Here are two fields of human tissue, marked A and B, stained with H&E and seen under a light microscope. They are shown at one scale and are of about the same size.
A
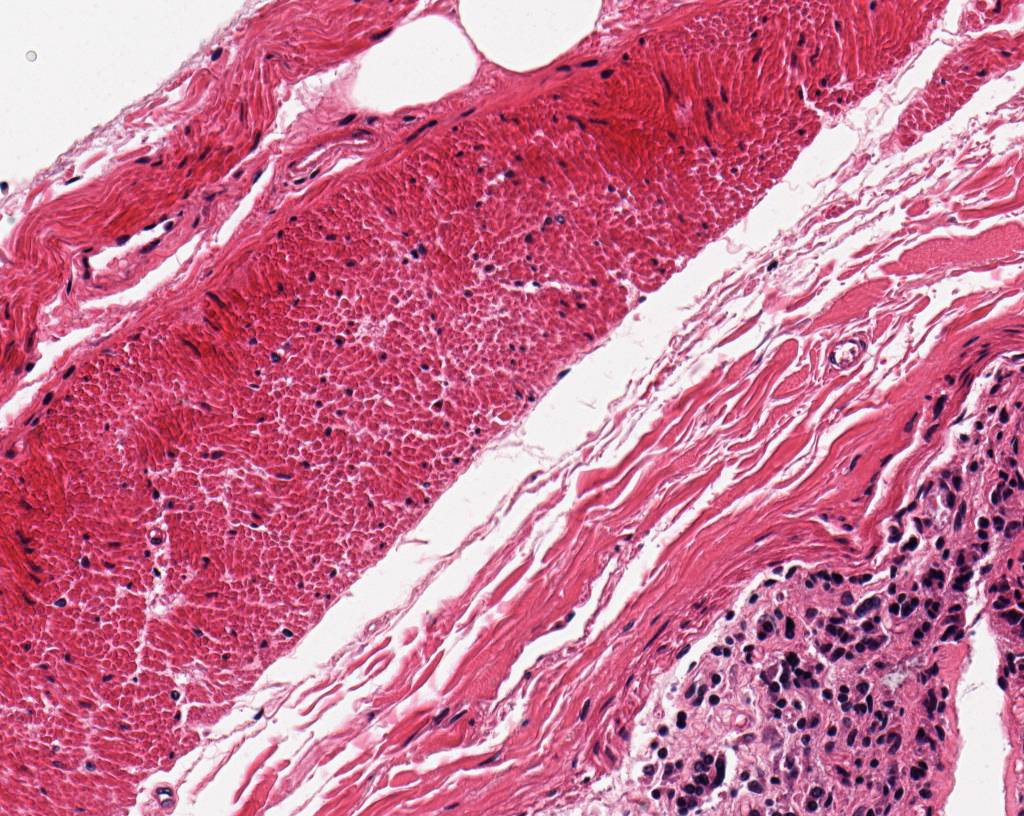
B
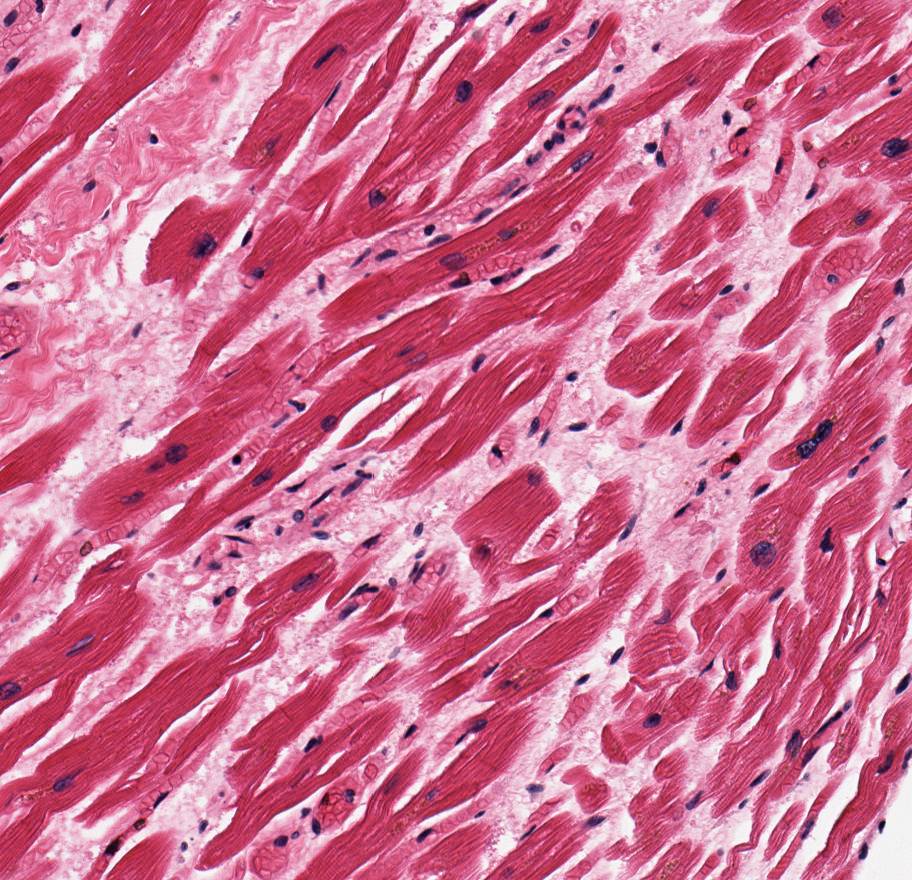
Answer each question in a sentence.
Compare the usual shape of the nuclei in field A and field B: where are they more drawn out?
On the whole the nuclei of field B are more drawn out than those of field A.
